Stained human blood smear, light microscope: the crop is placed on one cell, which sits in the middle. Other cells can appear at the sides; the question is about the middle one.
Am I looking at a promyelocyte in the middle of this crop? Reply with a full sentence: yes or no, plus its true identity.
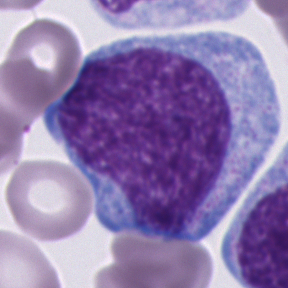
Yes, as for the central cell, it is a promyelocyte.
